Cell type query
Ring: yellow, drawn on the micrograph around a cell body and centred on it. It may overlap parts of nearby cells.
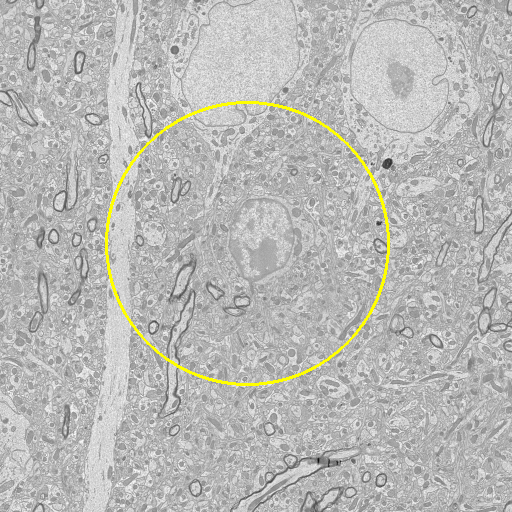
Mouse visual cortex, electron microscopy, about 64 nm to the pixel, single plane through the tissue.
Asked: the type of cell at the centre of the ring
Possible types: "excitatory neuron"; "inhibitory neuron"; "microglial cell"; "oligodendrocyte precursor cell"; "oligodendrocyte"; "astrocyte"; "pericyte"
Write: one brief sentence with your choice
The ring marks an oligodendrocyte.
